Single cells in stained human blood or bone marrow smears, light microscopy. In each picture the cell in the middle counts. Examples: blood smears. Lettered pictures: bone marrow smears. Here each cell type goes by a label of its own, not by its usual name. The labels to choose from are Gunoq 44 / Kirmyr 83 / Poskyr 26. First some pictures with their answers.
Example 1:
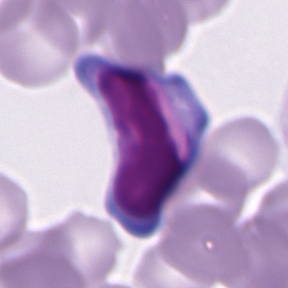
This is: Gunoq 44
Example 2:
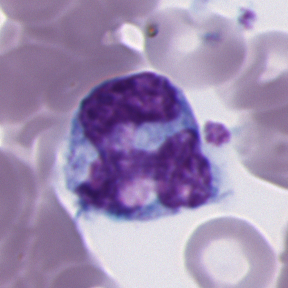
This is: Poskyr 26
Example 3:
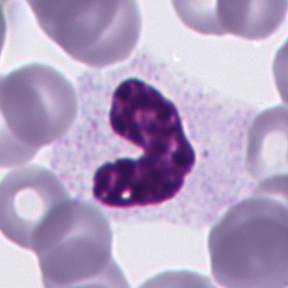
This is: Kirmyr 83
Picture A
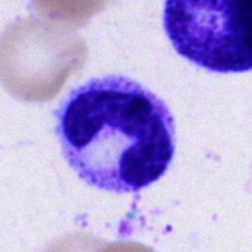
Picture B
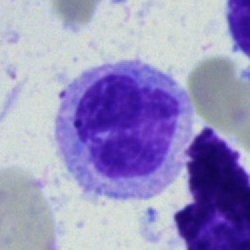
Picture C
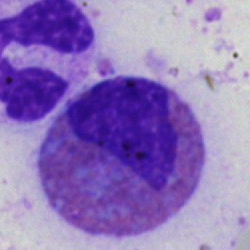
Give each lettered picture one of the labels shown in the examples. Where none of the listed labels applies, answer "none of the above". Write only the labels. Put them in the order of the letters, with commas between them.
Kirmyr 83, Poskyr 26, none of the above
